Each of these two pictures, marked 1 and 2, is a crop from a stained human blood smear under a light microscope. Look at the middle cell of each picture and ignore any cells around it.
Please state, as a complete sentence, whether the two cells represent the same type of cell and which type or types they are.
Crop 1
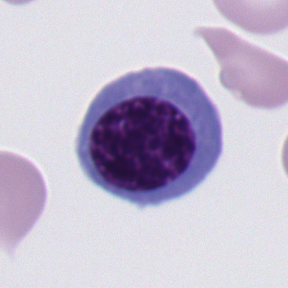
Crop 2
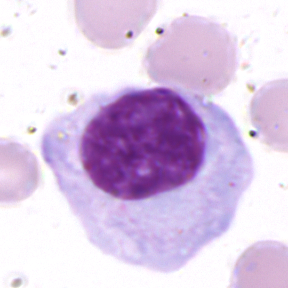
No, crop 1 has a normoblast in the middle, and crop 2 has a plasma cell.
